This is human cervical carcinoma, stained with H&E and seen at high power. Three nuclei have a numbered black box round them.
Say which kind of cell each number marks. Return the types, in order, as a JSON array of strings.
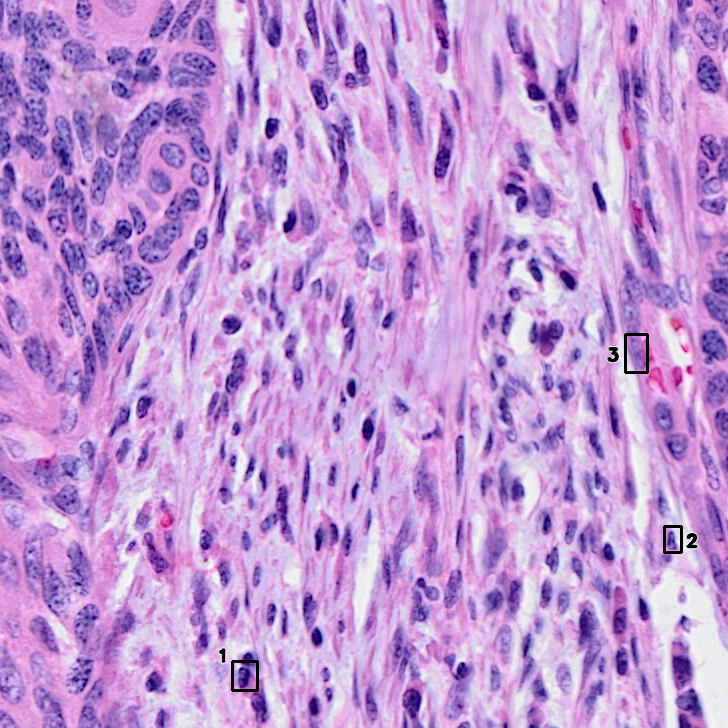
["lymphocyte", "lymphocyte", "endothelial cell"]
